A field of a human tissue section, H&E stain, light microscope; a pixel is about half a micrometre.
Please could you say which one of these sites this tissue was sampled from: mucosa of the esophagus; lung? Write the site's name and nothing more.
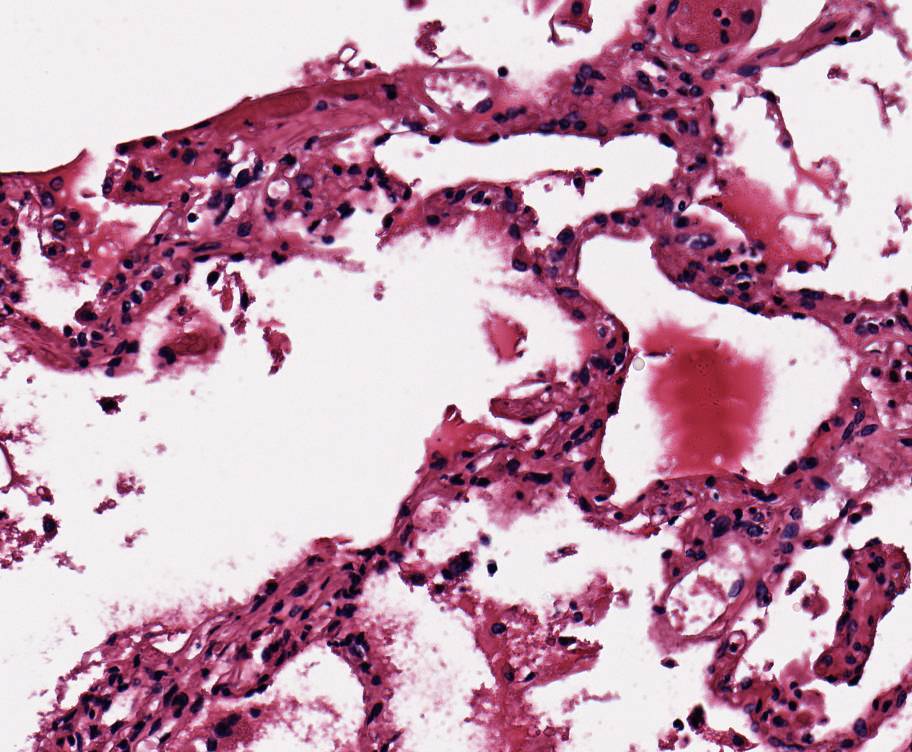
lung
